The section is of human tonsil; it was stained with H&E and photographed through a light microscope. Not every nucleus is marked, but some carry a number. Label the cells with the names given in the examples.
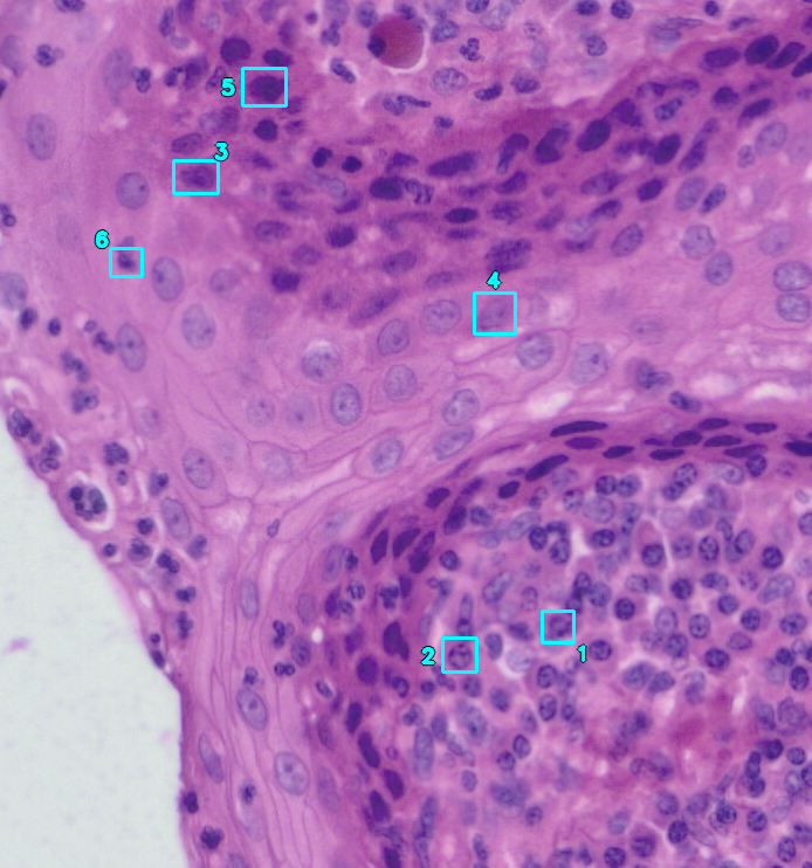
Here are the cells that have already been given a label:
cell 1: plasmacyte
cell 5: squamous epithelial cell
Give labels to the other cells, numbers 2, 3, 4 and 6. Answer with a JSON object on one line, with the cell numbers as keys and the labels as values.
{"2": "plasmacyte", "3": "squamous epithelial cell", "4": "squamous epithelial cell", "6": "squamous epithelial cell"}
